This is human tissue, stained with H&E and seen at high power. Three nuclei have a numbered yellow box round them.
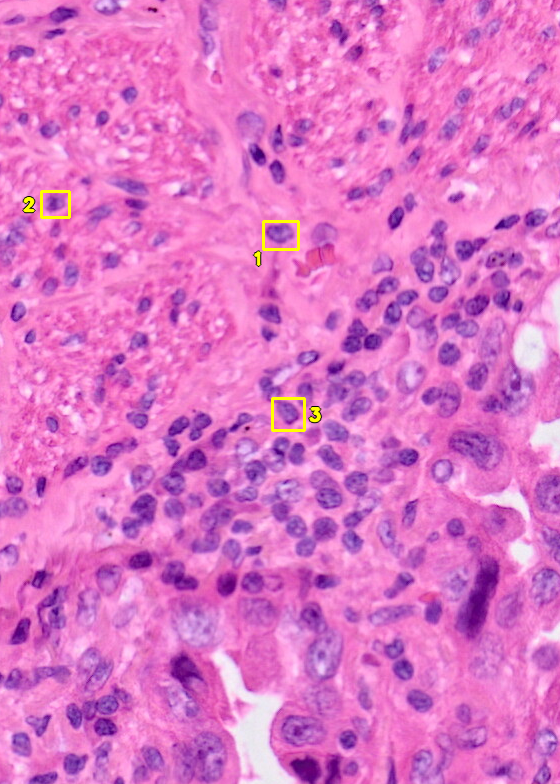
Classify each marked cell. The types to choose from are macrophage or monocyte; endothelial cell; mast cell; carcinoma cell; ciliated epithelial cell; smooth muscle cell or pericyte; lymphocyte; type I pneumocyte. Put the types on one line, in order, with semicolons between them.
mast cell; smooth muscle cell or pericyte; mast cell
